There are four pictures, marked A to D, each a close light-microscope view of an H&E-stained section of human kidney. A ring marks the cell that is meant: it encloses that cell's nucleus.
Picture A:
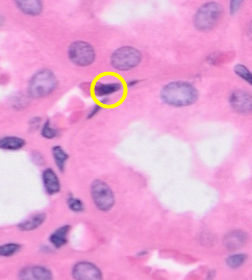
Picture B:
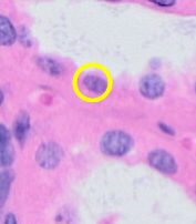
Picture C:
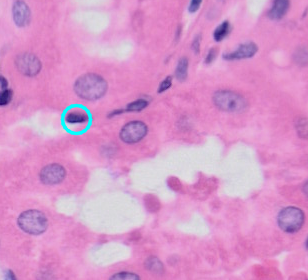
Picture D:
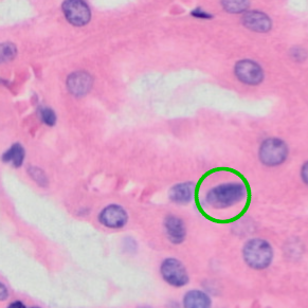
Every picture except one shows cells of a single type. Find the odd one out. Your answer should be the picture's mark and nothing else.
B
